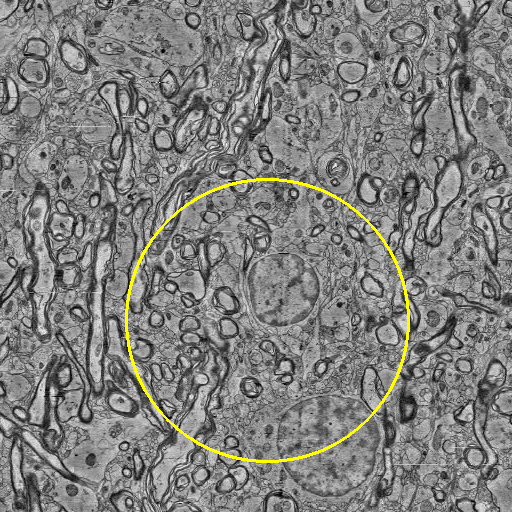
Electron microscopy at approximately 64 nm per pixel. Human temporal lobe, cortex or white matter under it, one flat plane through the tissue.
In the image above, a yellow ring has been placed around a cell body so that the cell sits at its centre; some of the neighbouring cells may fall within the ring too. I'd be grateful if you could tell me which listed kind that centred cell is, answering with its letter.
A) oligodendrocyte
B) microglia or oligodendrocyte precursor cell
B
